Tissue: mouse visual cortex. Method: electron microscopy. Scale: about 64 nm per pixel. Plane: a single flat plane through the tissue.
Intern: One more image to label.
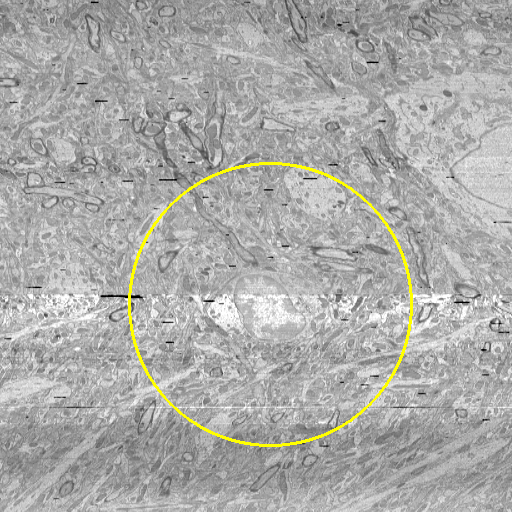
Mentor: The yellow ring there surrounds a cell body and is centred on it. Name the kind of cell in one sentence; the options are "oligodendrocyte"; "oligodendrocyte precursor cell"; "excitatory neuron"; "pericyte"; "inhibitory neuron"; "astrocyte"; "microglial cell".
The ring marks the cell body of an oligodendrocyte.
